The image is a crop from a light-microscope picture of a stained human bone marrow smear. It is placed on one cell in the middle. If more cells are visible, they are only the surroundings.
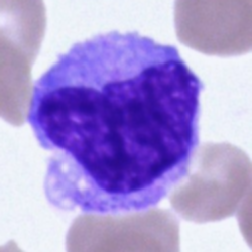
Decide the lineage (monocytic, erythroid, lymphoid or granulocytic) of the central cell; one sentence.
The cell located at the center of the crop is monocytic by lineage.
